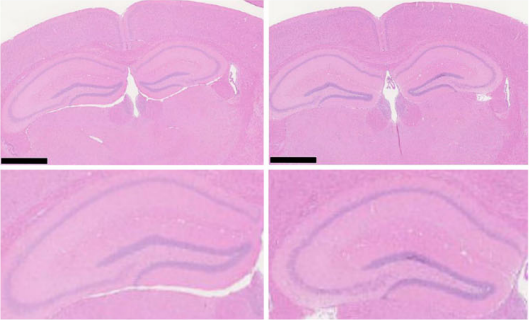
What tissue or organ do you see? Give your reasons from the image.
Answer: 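The lower images show curved, C-shaped dark purple bands of densely packed cells. An interlocking pair of curved cell bands lies beneath the pale cortex and white matter in the upper sections. That points to this answer: hippocampal regions.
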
